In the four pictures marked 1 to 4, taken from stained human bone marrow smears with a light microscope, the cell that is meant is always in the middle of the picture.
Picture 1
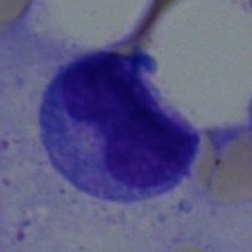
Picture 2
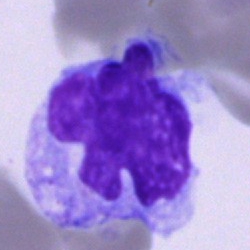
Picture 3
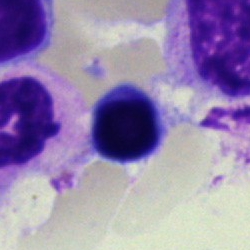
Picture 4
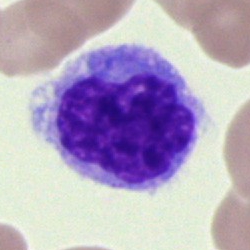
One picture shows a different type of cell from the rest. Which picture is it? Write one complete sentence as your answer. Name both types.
The different one is picture 3; it shows a lymphocyte, whereas all the others show monocytes.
